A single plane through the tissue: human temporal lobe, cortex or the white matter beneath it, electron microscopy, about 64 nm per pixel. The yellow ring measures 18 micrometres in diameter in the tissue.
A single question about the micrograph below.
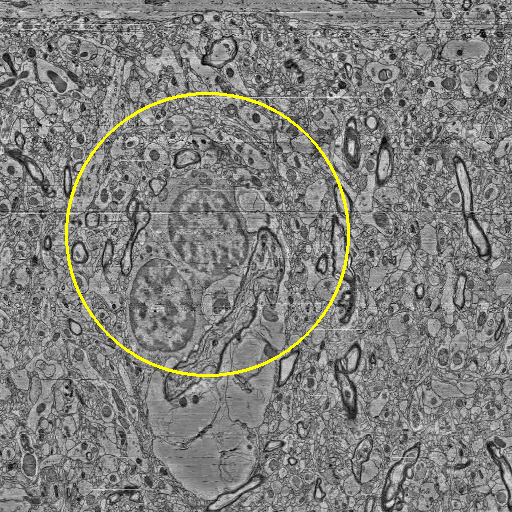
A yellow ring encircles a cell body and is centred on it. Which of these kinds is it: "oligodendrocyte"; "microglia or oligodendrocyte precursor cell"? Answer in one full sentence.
The cell body at the centre of the yellow ring belongs to an oligodendrocyte.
